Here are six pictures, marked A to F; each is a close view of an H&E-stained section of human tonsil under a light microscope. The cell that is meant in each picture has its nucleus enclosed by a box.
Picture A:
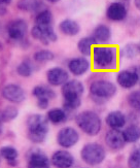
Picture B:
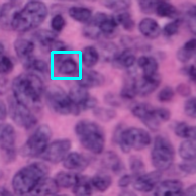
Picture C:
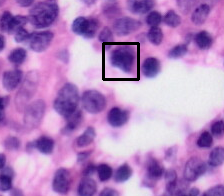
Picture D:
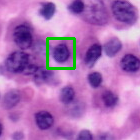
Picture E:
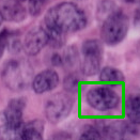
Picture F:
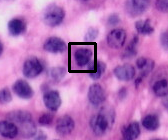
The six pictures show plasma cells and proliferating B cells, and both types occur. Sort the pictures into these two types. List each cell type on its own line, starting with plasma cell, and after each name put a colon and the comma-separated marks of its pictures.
plasma cell: A, D, F
proliferating B cell: B, C, E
